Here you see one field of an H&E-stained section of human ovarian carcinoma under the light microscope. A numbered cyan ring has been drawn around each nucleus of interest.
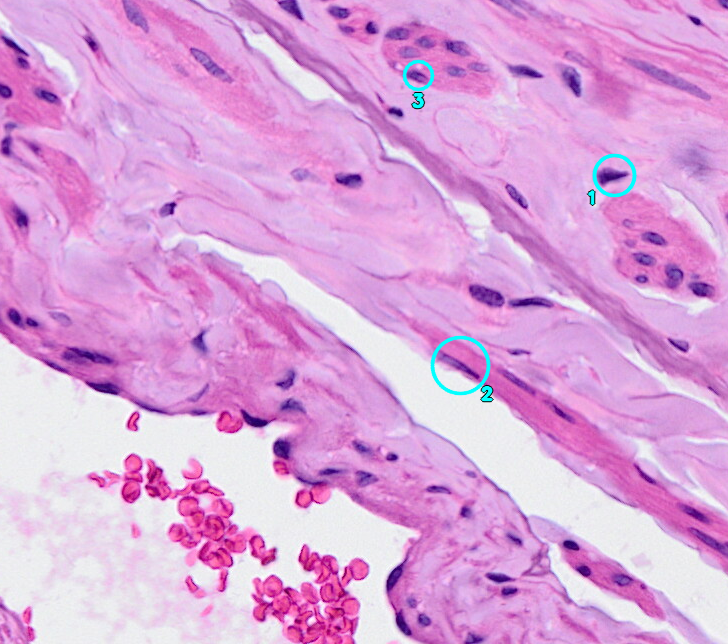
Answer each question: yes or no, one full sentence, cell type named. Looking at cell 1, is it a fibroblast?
Yes, the cell marked with number 1 is a fibroblast.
